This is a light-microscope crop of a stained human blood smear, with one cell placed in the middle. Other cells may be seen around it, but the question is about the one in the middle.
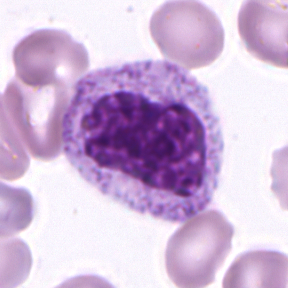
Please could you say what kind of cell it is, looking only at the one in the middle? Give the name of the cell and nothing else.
metamyelocyte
